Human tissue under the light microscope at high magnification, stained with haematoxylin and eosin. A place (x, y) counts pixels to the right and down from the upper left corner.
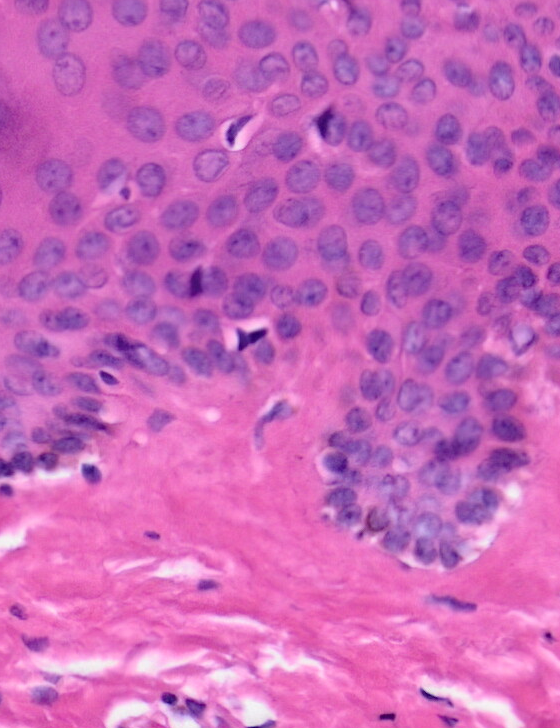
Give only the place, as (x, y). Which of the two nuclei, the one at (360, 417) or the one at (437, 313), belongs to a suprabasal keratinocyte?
(437, 313)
